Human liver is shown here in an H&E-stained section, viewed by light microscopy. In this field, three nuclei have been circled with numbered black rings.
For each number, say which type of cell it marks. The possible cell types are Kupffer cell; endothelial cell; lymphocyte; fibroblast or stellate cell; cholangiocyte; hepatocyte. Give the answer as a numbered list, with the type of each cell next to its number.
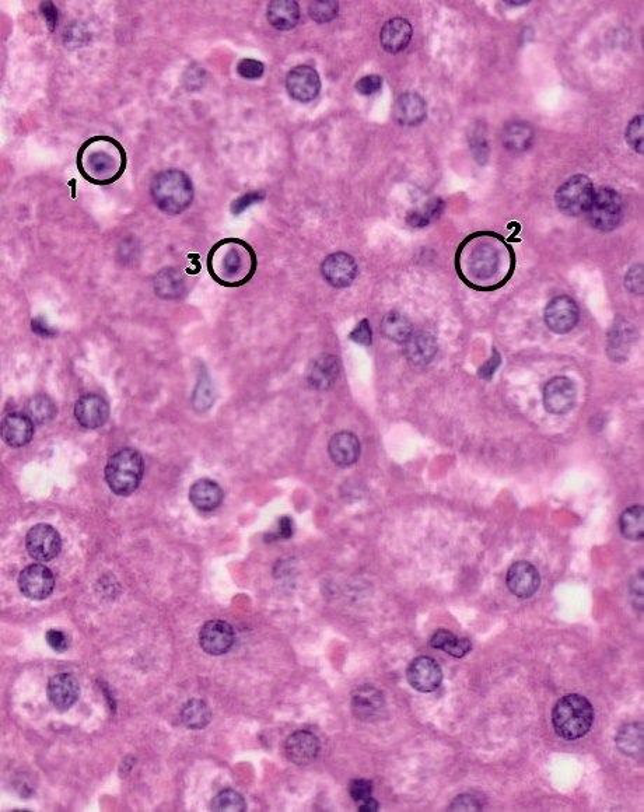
1. lymphocyte
2. hepatocyte
3. lymphocyte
